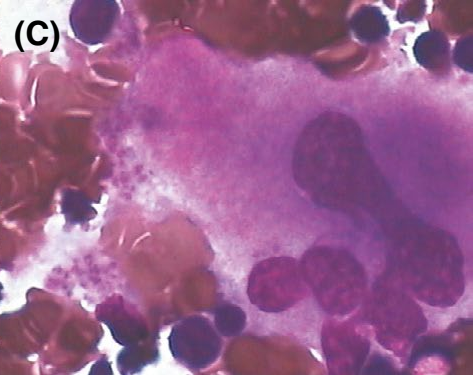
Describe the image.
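A large platelet-forming megakaryocyte lies in a bone marrow smear, crowded by red cells and smaller nucleated marrow cells. The nucleus is lobulated and purple. The cytoplasm is abundant, pale pink to lilac, and finely granular. At its left margin, granular cytoplasm breaks up into small clusters of pink granules at the cell edge.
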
